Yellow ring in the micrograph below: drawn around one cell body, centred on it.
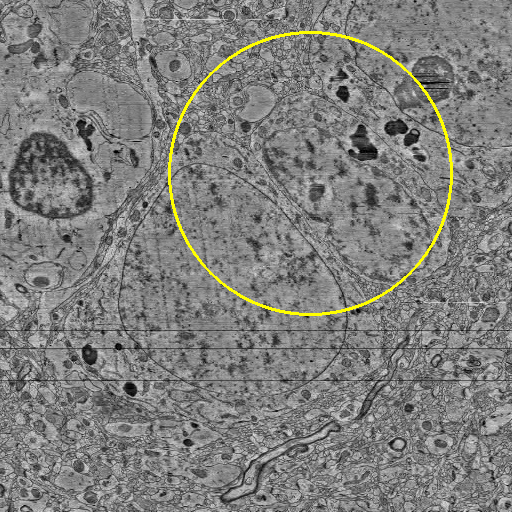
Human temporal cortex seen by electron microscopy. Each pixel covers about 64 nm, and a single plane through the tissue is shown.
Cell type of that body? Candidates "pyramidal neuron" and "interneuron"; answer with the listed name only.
interneuron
